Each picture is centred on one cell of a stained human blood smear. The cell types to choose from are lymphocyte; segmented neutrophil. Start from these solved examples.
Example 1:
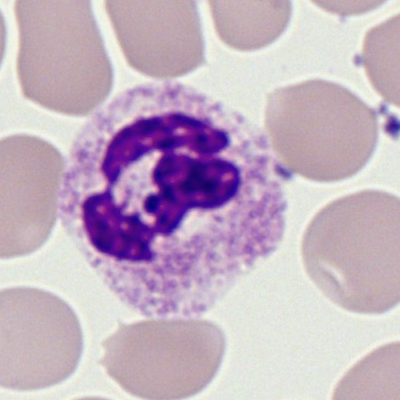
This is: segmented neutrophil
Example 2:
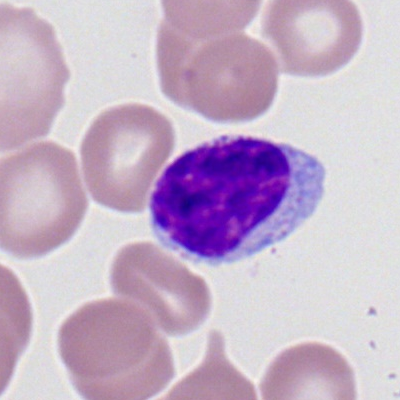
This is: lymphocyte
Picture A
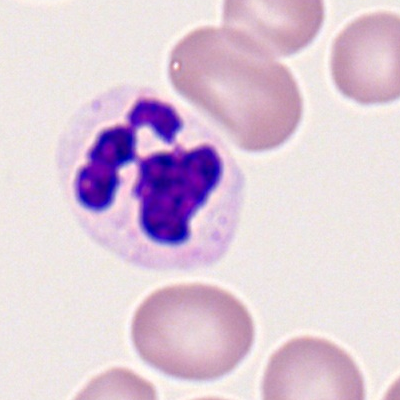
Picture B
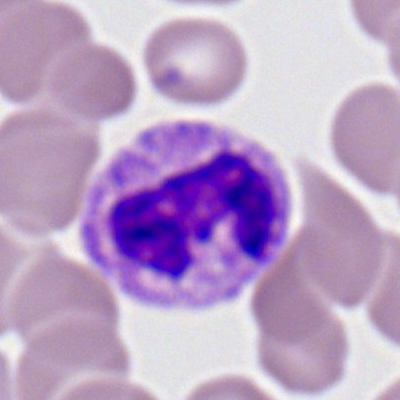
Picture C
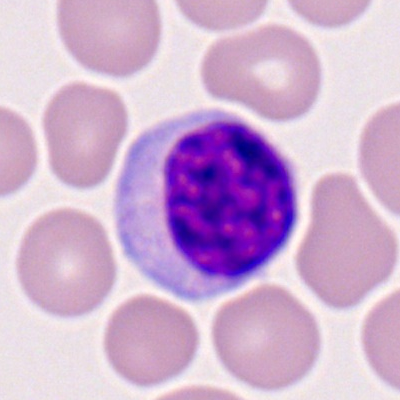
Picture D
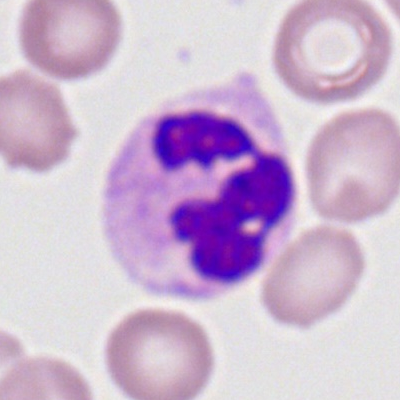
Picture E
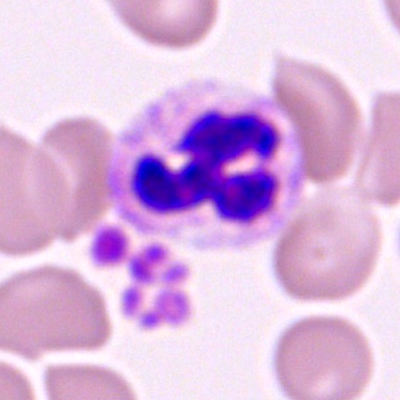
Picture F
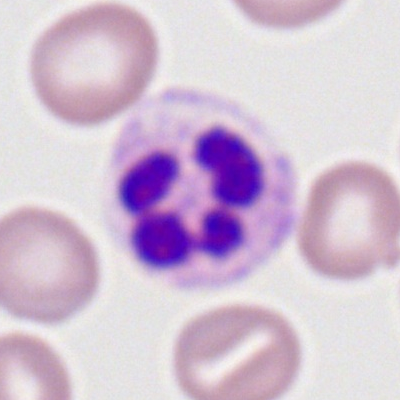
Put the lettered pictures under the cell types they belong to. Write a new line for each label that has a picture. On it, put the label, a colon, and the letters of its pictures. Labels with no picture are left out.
lymphocyte: C
segmented neutrophil: A, B, D, E, F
